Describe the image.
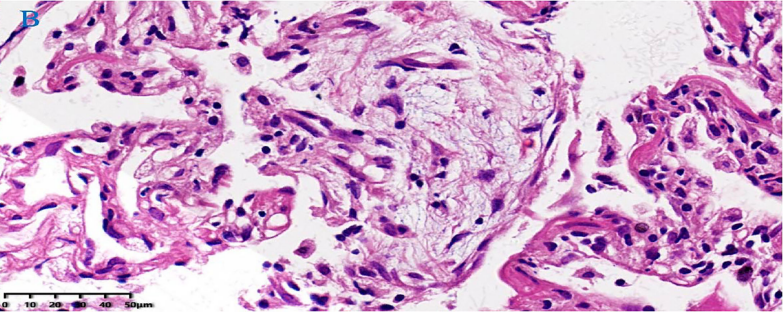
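This is lung at high power, where an airspace is filled by a rounded plug of pale, loose, faintly fibrillar pale pink to bluish matrix holding scattered spindle-shaped and stellate fibroblasts with elongated dark nuclei. Around it, the alveolar walls are pink and fibrous and carry many small cells with dark nuclei, some of them small round lymphocytes.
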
